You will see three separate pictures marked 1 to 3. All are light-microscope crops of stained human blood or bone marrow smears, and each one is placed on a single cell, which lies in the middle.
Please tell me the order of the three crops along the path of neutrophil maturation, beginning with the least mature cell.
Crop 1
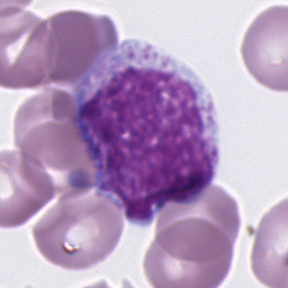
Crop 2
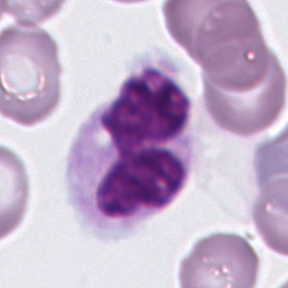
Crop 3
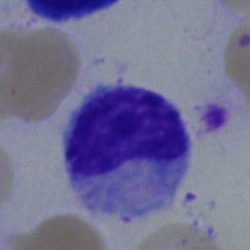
1, 3, 2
